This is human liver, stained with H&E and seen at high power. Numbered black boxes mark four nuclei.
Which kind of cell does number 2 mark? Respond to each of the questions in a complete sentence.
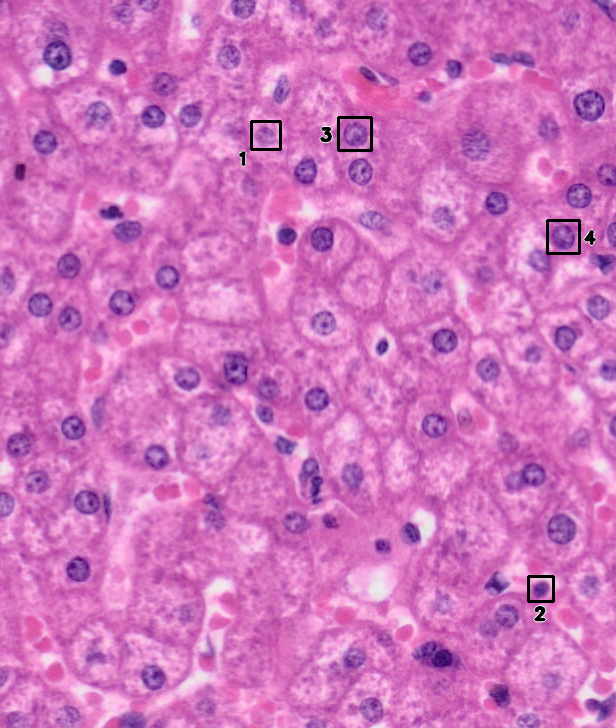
The cell with the number 2 is a lymphocyte.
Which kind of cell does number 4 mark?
The cell referred to as 4 is a hepatocyte.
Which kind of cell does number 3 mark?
The cell assigned the number 3 is a hepatocyte.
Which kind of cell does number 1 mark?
Belonging to a hepatocyte is the nucleus that carries the number 1.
